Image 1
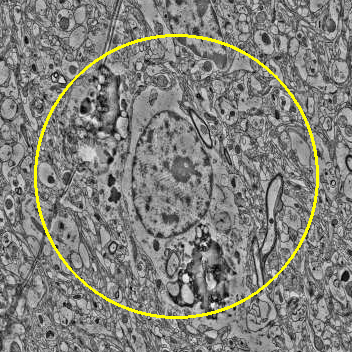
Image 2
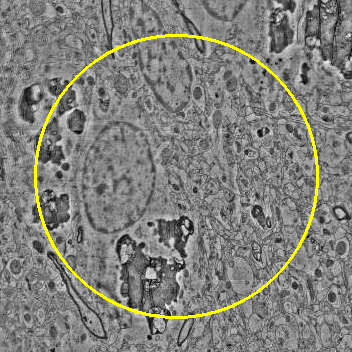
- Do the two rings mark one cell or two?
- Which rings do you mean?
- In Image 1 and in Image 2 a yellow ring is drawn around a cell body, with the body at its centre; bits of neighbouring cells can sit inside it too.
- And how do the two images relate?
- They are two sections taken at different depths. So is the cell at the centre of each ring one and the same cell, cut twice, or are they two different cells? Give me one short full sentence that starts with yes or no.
Yes, the marked cell is the same in both rings.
